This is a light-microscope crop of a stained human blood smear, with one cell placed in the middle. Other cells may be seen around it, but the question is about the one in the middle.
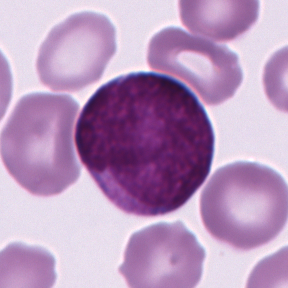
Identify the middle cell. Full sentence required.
The target cell in the middle of the crop is a myeloblast.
